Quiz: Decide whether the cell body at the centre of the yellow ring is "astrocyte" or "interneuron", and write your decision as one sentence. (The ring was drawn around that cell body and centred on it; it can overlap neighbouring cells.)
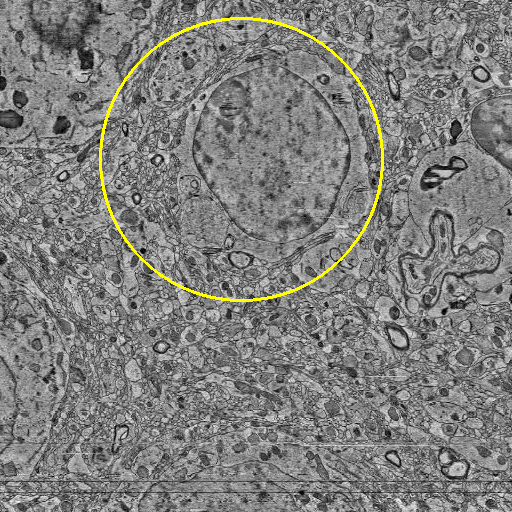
The cell the ring is centred on is an astrocyte.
